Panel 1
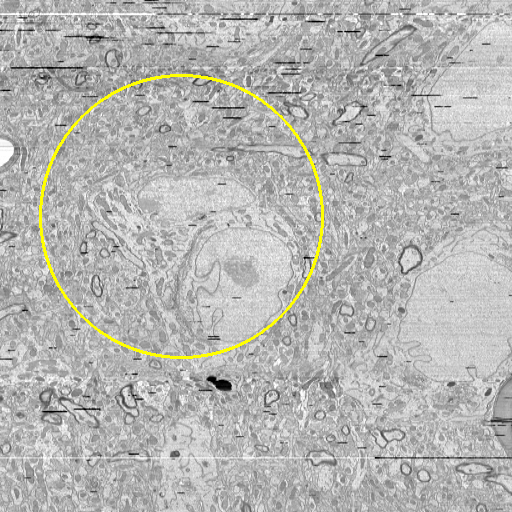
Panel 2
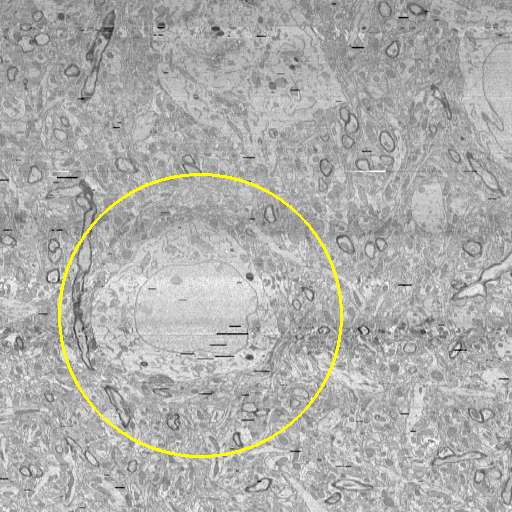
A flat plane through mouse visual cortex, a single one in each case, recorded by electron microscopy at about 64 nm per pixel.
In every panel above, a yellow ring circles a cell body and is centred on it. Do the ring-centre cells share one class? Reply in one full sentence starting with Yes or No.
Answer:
No, the two cells at the ring centres in the panels belong to two classes.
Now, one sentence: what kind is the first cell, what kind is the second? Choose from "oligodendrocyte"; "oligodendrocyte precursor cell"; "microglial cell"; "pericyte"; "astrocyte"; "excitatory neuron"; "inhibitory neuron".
The first picture has an oligodendrocyte precursor cell at its ring centre, and the second has an excitatory neuron.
